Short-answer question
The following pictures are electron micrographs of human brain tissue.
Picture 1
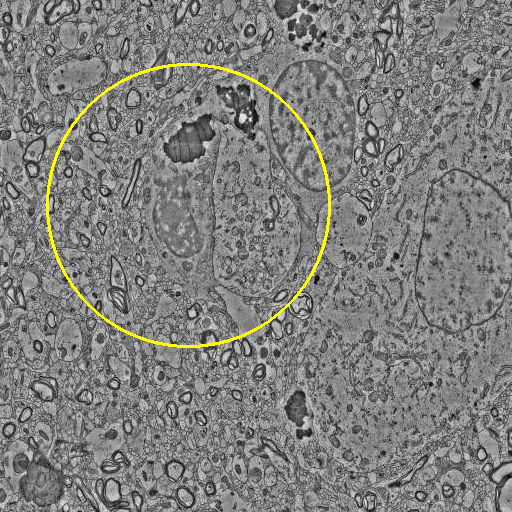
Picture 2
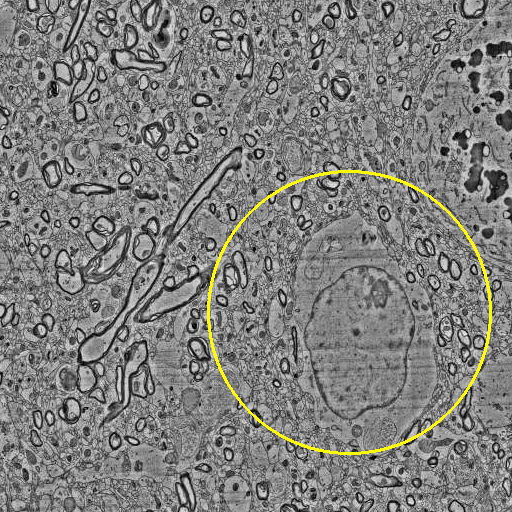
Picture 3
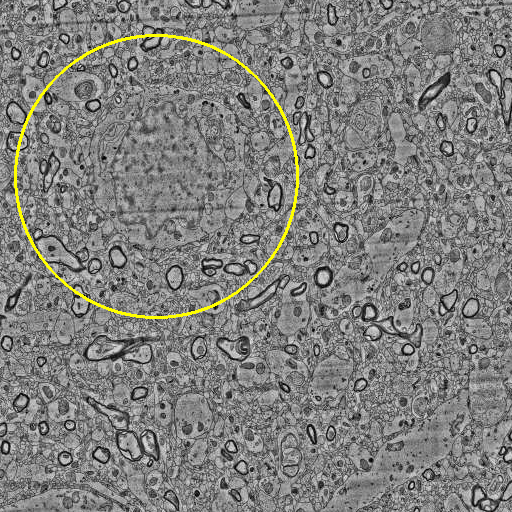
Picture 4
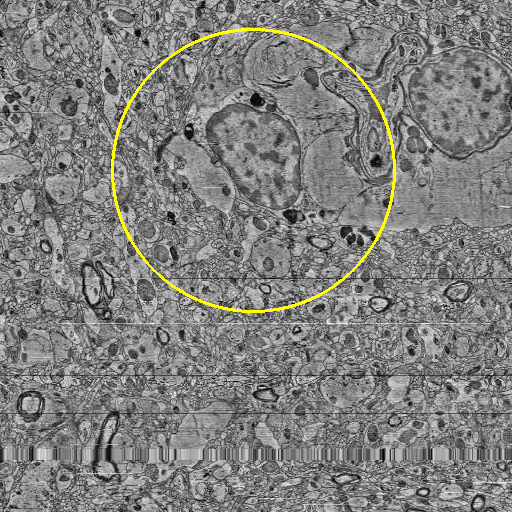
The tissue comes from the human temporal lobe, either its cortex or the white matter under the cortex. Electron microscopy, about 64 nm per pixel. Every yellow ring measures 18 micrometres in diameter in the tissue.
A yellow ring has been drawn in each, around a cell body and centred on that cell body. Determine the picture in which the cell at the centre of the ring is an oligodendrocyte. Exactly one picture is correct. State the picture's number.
1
